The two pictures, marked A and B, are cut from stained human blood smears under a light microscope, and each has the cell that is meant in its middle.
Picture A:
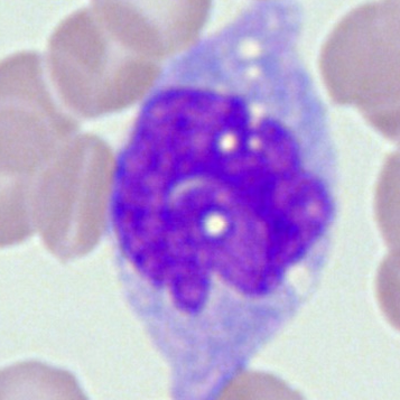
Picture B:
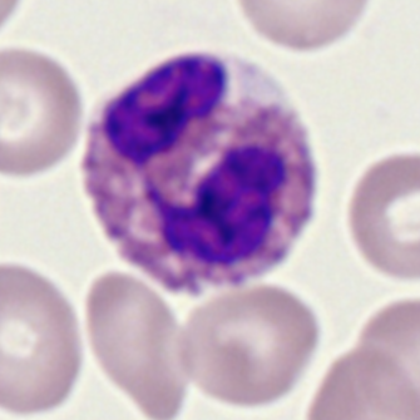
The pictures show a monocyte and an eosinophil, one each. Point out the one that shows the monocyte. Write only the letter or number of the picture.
A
